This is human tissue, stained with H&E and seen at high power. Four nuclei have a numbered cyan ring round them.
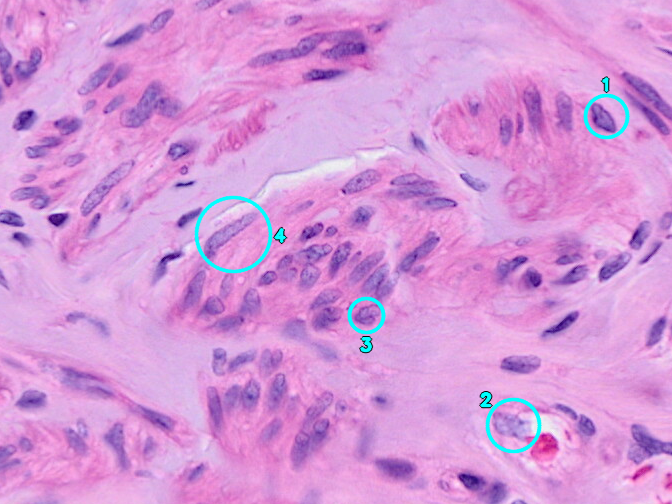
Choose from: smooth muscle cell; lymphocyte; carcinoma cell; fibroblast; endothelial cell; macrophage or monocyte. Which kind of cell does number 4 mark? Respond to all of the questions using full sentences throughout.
Regarding cell 4, this one is a smooth muscle cell.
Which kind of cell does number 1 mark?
The cell marked with number 1 is a smooth muscle cell.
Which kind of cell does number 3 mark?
The marked cell bearing number 3 is a smooth muscle cell.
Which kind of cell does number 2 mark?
Denoted by the label 2 in the section is an endothelial cell.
